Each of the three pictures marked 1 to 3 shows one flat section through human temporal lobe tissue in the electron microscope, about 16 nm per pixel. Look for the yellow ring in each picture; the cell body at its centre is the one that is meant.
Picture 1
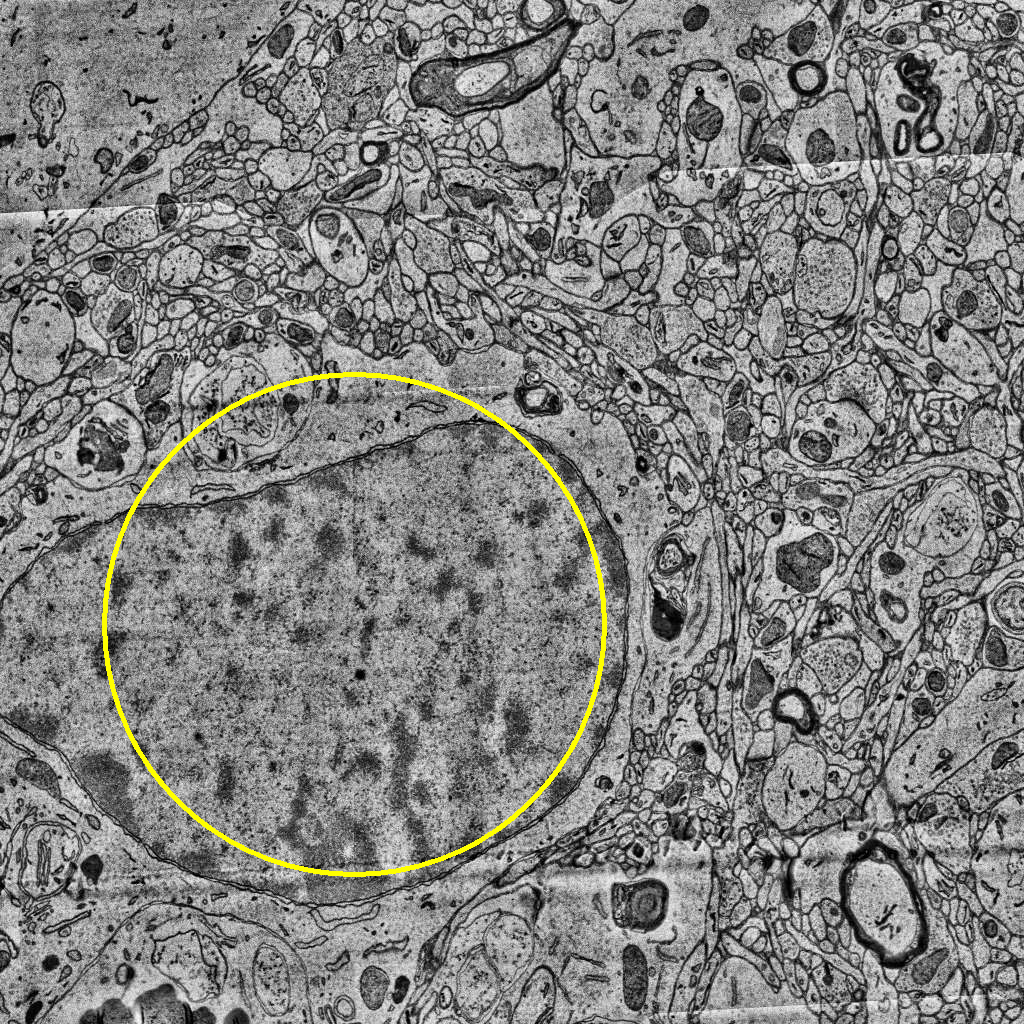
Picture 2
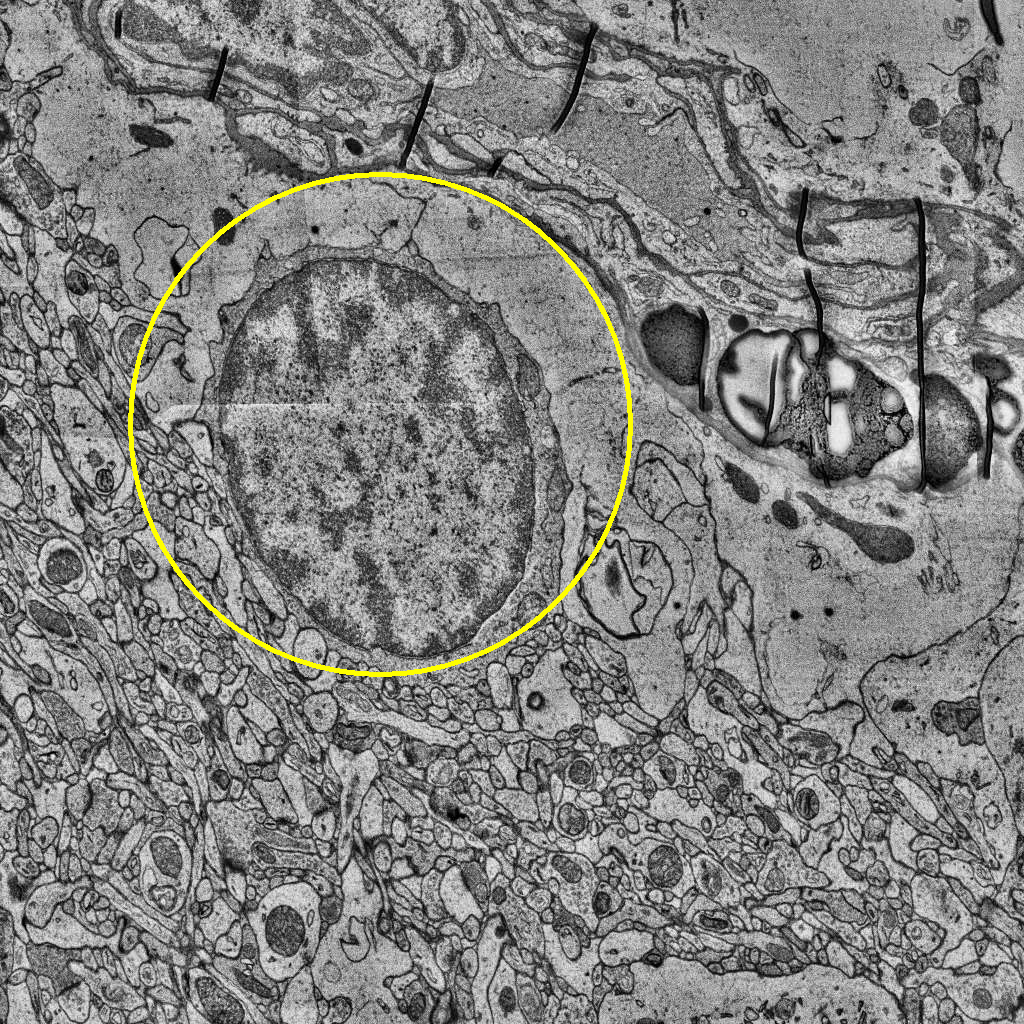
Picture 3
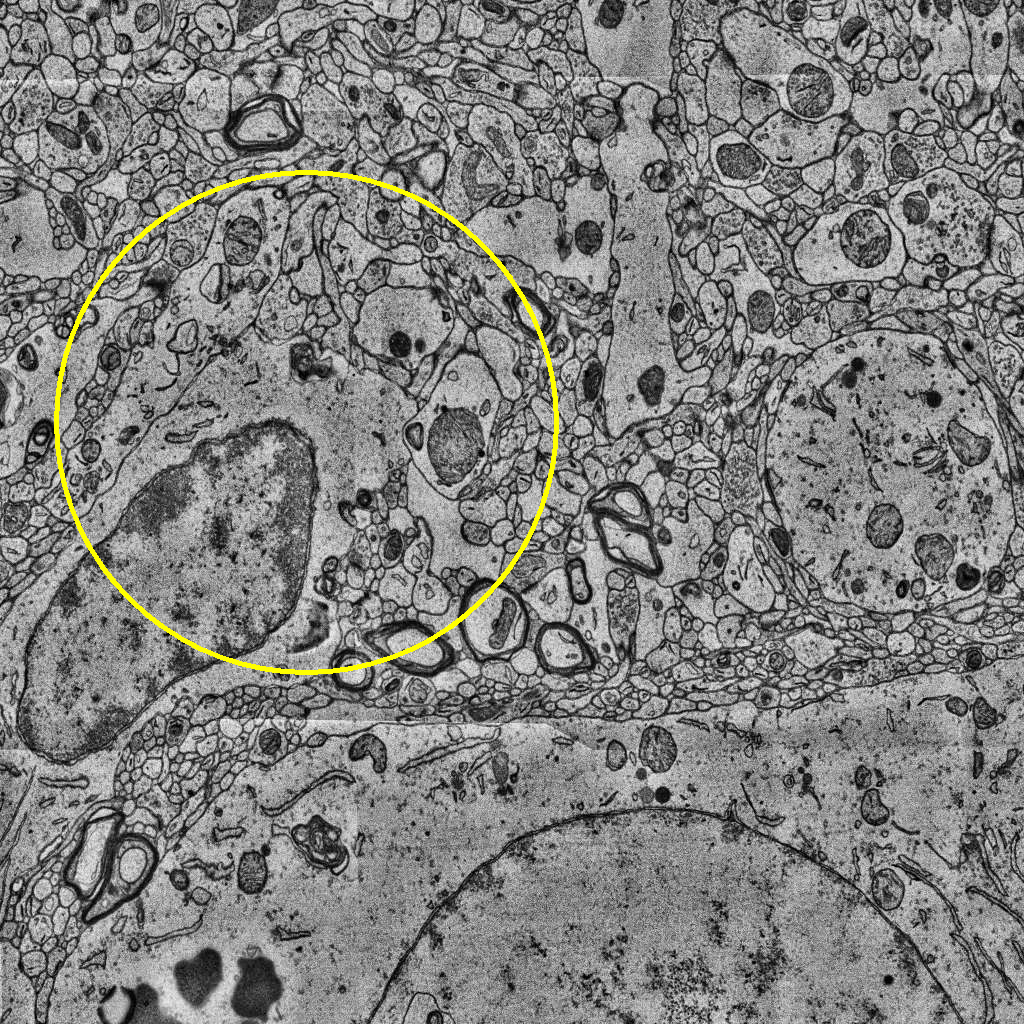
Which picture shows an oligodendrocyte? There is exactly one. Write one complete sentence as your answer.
The picture with the oligodendrocyte is 2.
